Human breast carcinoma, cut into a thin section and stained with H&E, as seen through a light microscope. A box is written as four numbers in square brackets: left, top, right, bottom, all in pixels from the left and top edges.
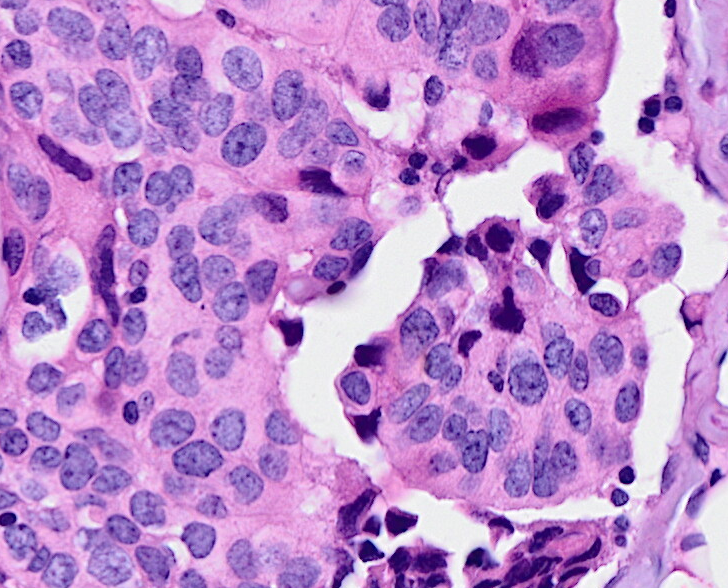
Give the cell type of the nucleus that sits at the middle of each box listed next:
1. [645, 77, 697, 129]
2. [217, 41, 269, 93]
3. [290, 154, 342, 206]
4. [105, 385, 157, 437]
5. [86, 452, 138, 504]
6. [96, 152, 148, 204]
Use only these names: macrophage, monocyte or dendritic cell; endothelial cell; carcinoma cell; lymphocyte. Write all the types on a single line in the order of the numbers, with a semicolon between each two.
lymphocyte; carcinoma cell; carcinoma cell; lymphocyte; carcinoma cell; carcinoma cell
